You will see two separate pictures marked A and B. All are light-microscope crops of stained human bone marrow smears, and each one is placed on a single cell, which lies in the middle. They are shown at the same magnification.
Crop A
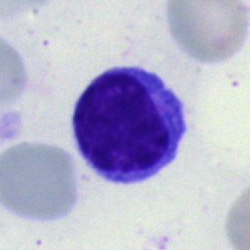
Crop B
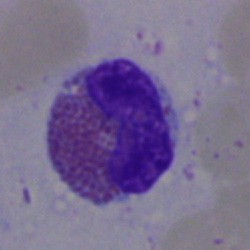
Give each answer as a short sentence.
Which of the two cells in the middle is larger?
Crop B holds the larger cell; it covers about 1.5 times the area of the cell in crop A.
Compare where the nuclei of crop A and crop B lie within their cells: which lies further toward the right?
The nucleus in crop B lies further toward the right of its cell.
